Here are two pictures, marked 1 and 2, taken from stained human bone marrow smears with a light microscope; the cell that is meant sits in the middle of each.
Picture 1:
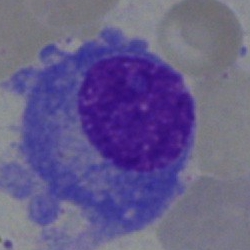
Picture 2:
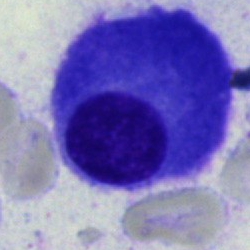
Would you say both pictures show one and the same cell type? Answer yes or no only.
yes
